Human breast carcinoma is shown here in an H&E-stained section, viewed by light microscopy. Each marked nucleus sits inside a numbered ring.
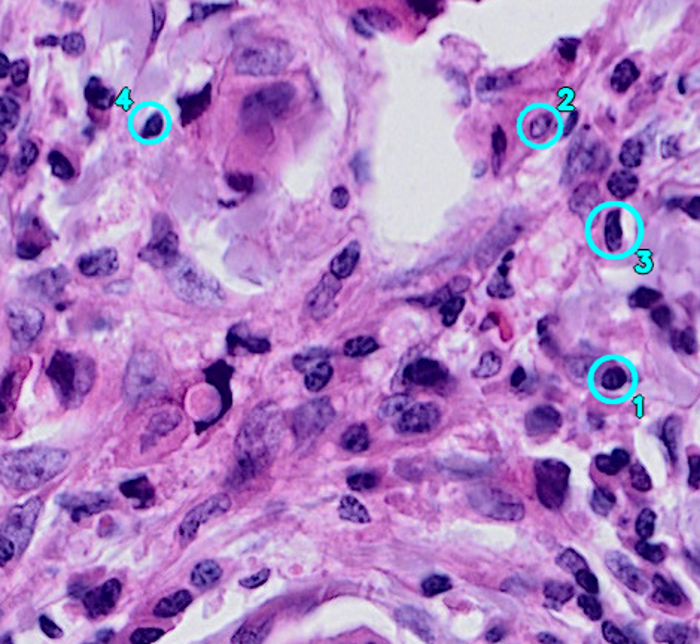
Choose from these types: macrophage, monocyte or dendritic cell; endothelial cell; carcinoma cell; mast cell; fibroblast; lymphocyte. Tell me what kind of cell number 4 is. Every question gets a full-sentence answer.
Number 4 is placed on a lymphocyte here.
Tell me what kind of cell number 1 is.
Number 1 among the marked cells is a lymphocyte.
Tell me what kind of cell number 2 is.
Here, the cell given the number 2 is an endothelial cell.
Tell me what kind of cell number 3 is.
The cell marked with number 3 is a lymphocyte.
